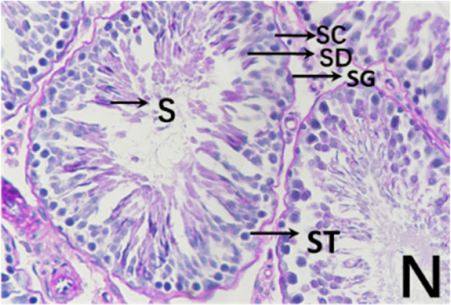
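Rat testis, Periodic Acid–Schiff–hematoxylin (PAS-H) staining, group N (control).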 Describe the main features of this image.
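Cross-sections of seminiferous tubules are shown with a complete layered germinal epithelium. Small, darkly stained round nuclei sit along the pink basement membrane at the periphery, where the spermatogonia lie. Inward of them are larger rounded cells with bigger nuclei, the primary spermatocytes, and nearer the lumen come smaller round spermatids. Thin interstitial tissue with small vessels separates neighbouring tubules.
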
